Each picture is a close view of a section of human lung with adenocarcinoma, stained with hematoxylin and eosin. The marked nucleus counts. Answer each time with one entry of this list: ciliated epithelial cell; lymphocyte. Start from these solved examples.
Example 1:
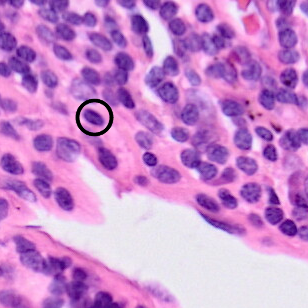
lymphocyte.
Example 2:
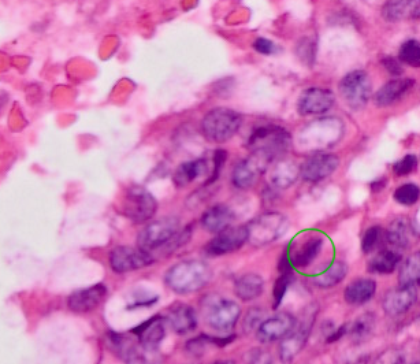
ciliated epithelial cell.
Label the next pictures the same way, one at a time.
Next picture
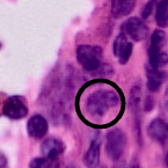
lymphocyte.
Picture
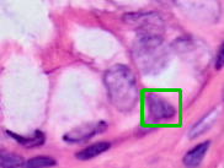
ciliated epithelial cell.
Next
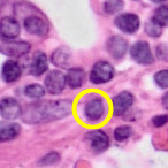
lymphocyte.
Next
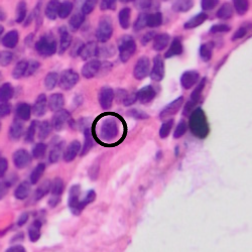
lymphocyte.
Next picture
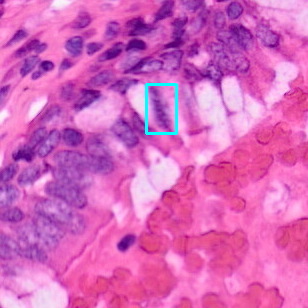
ciliated epithelial cell.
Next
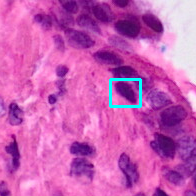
ciliated epithelial cell.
